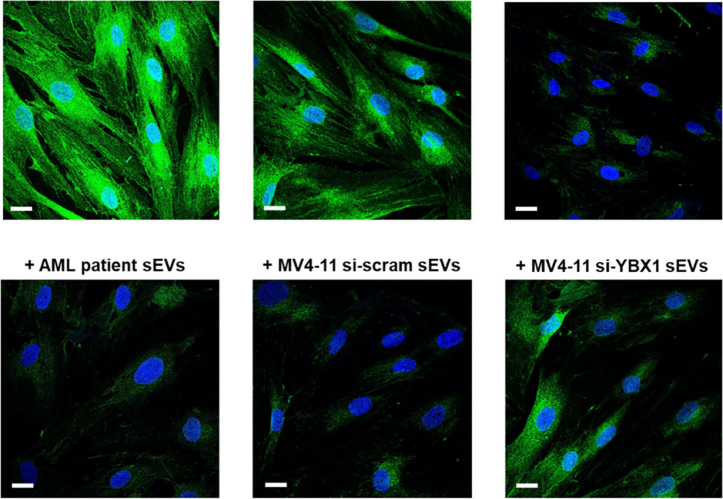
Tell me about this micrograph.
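The cells are flattened and spread, some elongated and spindle-shaped, each with a single oval blue nucleus. Green fibrillar signal fills the cytoplasm and outlines the cell bodies brightly in some fields. In other fields the green is faint and only the nuclei stand out clearly.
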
